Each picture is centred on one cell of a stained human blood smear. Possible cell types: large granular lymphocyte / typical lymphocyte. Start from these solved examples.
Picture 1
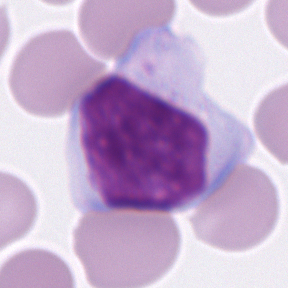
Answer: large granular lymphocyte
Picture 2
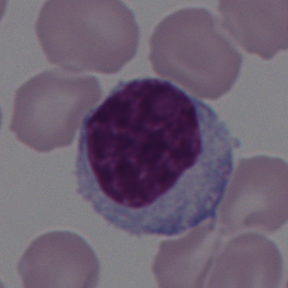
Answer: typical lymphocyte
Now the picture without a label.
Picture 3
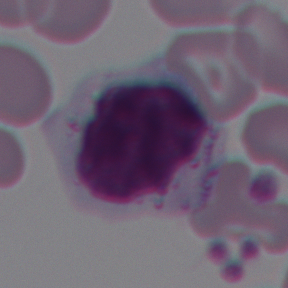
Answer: large granular lymphocyte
